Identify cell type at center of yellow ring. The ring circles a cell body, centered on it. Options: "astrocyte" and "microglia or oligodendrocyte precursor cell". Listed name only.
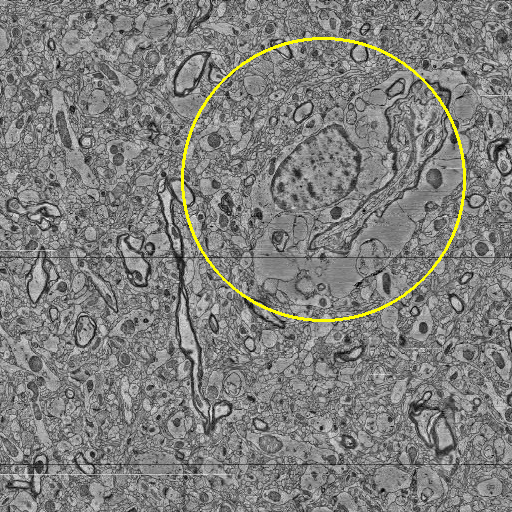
microglia or oligodendrocyte precursor cell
